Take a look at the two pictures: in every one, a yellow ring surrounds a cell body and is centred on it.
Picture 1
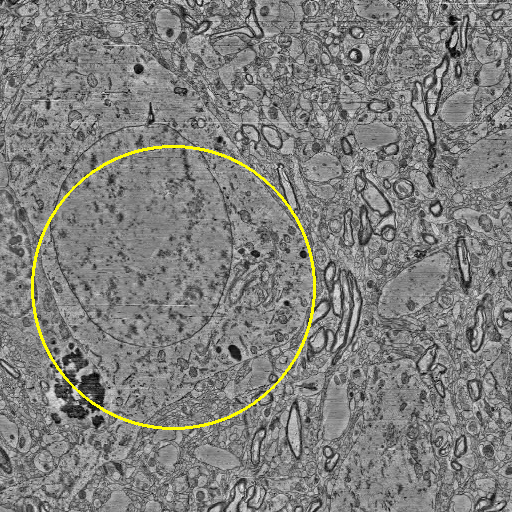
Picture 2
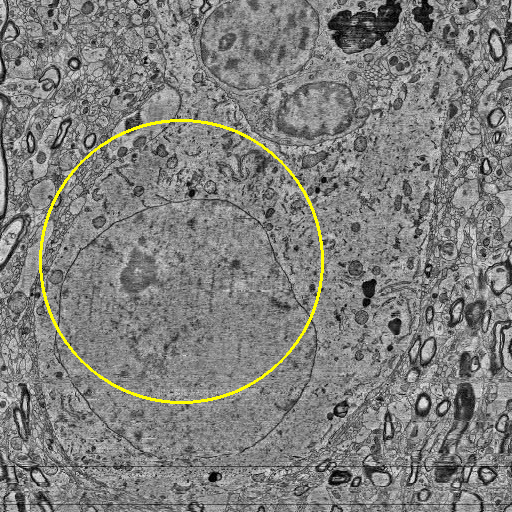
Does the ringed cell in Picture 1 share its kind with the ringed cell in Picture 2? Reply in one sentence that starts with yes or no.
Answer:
Yes, the two centred cells, one per picture, are of one kind.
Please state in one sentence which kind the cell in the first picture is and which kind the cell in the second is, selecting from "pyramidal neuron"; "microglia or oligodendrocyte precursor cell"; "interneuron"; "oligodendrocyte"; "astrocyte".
Each cell, in the first picture and the second, is a pyramidal neuron.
